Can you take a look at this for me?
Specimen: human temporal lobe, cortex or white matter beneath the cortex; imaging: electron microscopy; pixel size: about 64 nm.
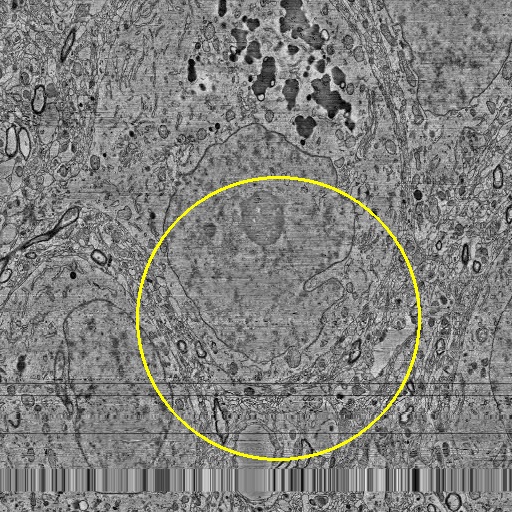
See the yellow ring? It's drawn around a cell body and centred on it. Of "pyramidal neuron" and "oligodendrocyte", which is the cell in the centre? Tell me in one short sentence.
The one in the centre is a pyramidal neuron.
